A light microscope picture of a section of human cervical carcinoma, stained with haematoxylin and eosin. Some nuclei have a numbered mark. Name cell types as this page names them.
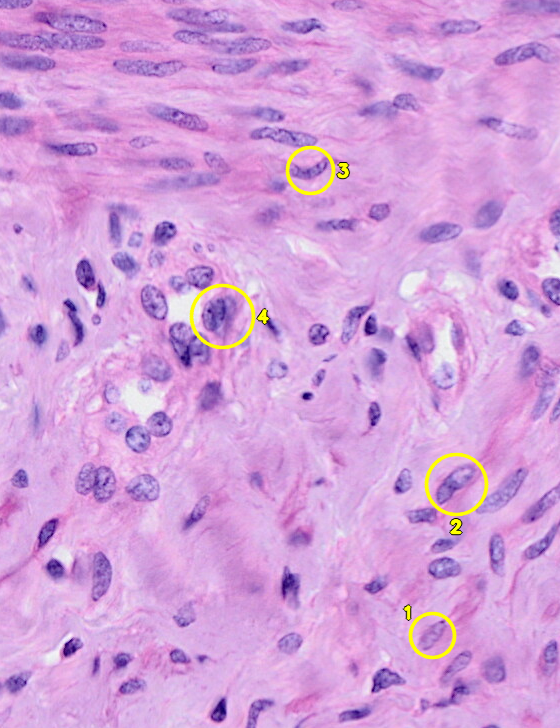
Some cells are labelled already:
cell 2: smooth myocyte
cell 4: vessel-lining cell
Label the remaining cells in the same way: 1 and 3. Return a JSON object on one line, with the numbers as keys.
{"1": "smooth myocyte", "3": "smooth myocyte"}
